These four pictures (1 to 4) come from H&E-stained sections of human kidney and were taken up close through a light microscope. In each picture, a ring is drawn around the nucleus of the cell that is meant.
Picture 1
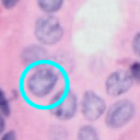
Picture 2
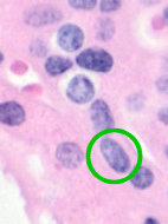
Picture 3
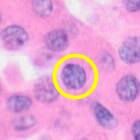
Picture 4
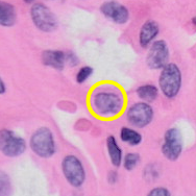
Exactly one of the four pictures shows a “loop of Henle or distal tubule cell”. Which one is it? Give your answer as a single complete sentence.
The “loop of Henle or distal tubule cell” is the one in picture 3.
